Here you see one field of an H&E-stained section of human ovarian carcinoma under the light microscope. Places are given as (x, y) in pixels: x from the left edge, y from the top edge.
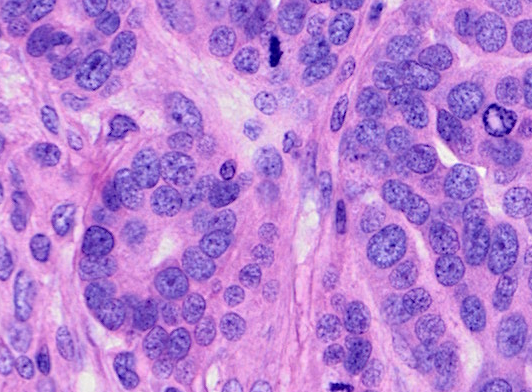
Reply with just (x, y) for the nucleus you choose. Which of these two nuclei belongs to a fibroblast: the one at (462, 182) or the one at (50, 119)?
(50, 119)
